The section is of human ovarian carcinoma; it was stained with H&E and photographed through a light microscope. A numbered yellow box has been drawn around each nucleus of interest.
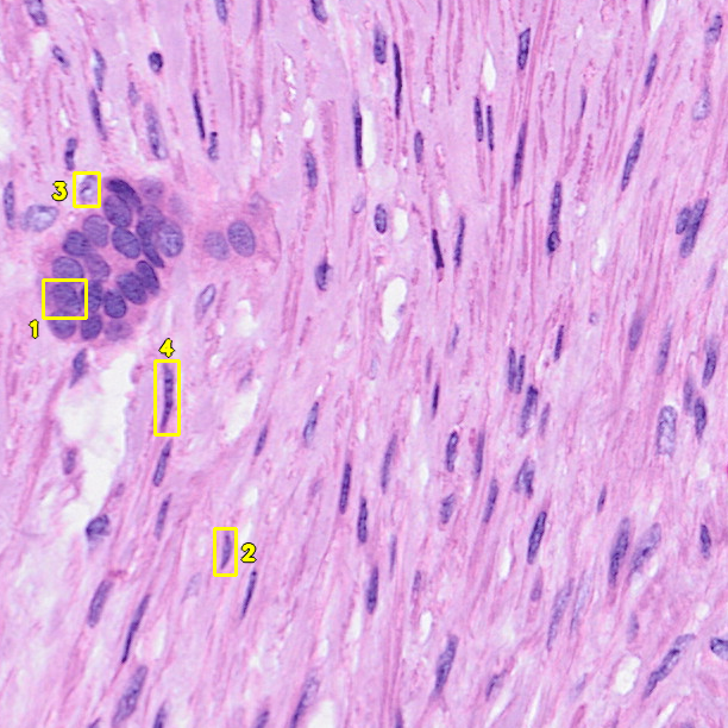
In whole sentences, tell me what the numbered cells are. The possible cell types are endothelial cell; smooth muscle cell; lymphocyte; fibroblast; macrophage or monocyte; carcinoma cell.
Cell 1 is a carcinoma cell, cell 2 is a fibroblast, cell 3 is a fibroblast and cell 4 is a fibroblast.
